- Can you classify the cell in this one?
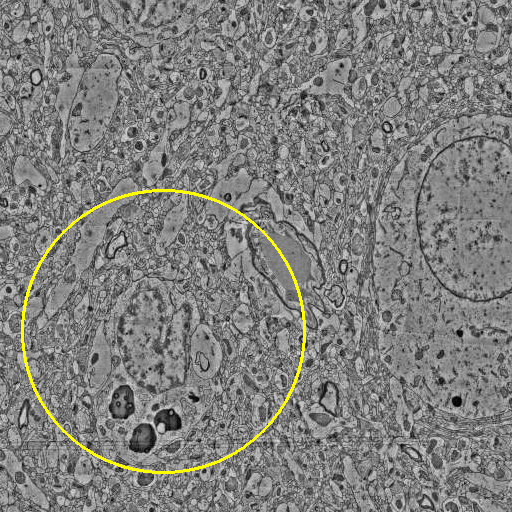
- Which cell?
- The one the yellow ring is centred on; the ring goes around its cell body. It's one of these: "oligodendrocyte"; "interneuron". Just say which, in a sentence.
The cell body in the ring belongs to an interneuron.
